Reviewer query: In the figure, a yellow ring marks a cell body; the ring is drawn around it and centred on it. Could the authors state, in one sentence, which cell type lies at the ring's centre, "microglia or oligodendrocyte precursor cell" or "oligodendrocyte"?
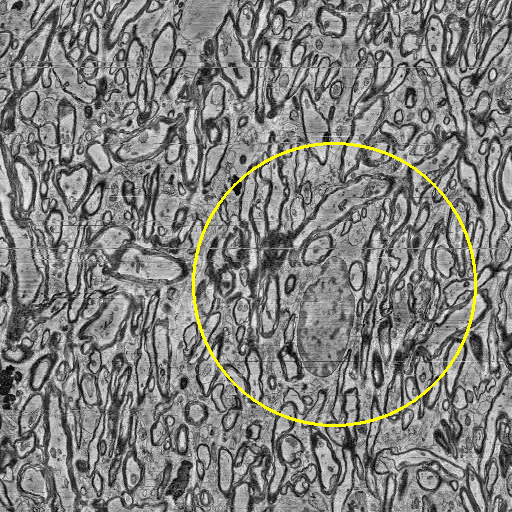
The ring is centred on a microglial cell or oligodendrocyte precursor cell.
